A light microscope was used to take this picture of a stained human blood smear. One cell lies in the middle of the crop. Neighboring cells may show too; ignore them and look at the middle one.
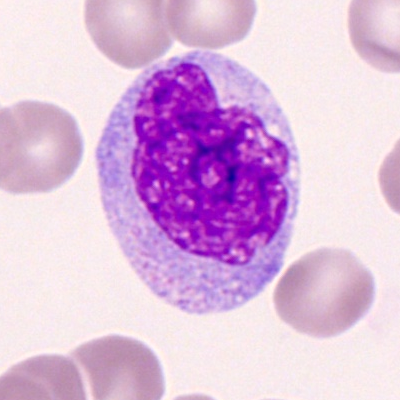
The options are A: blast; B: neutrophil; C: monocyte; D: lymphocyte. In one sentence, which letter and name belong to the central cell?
The cell at the centre is a monocyte, and option C accordingly is correct.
